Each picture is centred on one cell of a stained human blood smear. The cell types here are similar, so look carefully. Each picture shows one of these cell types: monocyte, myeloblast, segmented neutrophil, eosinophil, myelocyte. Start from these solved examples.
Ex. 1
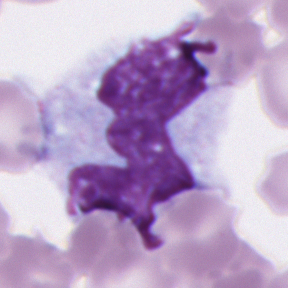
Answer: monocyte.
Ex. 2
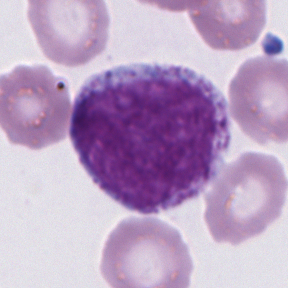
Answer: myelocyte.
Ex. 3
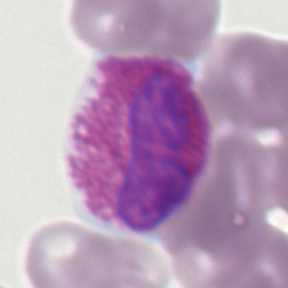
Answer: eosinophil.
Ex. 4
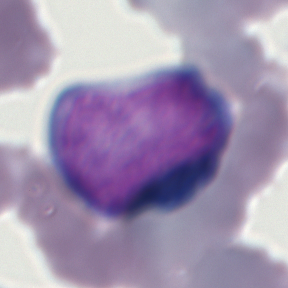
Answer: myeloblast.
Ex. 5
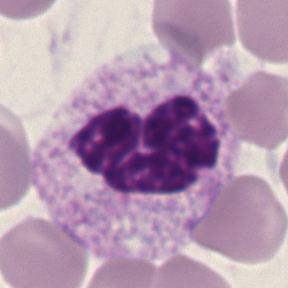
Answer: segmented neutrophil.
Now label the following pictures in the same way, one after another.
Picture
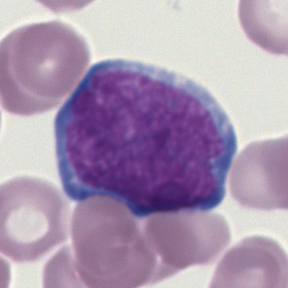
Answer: myeloblast.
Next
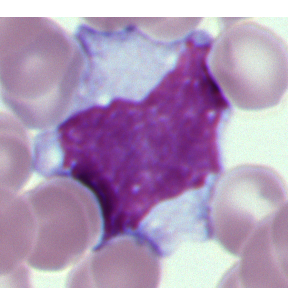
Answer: monocyte.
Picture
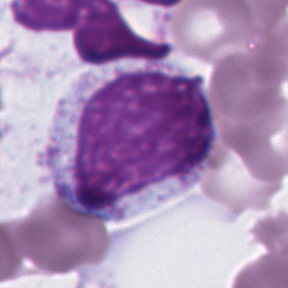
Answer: myelocyte.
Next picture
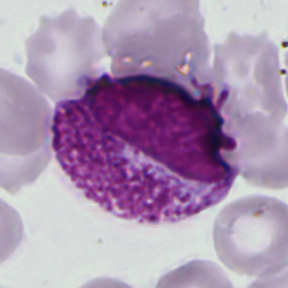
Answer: myelocyte.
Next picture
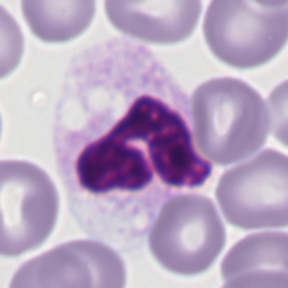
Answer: segmented neutrophil.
